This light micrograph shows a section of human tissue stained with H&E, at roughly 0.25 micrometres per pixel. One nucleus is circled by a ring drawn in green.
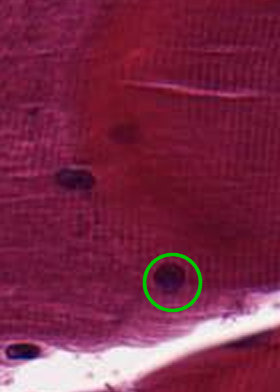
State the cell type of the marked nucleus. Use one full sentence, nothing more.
The marked nucleus is found in a skeletal muscle fibre.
